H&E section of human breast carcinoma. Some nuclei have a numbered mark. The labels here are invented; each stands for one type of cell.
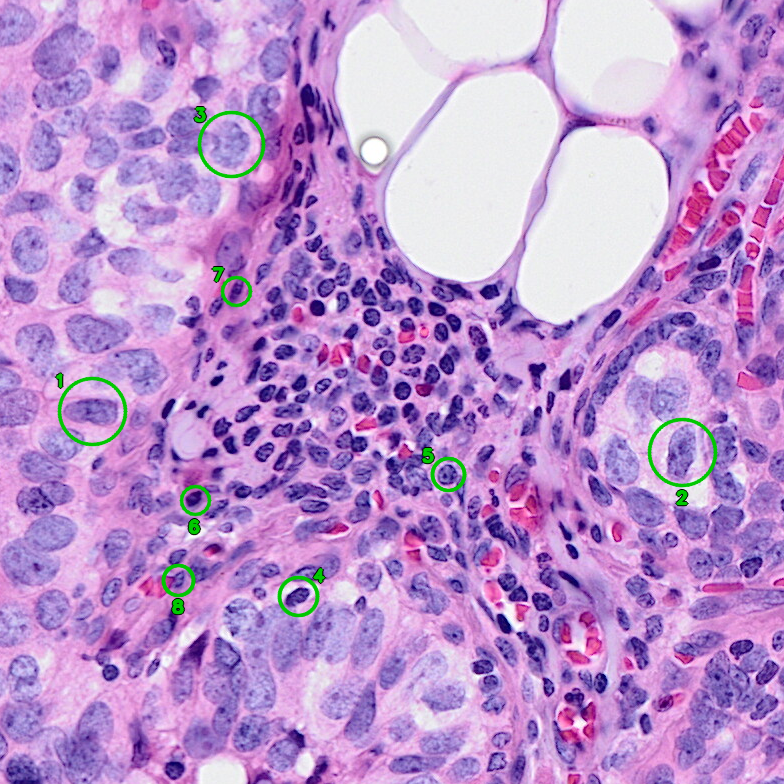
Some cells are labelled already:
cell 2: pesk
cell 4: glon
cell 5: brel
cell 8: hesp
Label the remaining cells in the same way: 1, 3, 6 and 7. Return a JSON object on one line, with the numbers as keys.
{"1": "pesk", "3": "pesk", "6": "glon", "7": "hesp"}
